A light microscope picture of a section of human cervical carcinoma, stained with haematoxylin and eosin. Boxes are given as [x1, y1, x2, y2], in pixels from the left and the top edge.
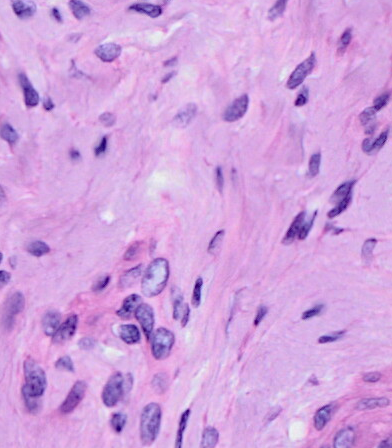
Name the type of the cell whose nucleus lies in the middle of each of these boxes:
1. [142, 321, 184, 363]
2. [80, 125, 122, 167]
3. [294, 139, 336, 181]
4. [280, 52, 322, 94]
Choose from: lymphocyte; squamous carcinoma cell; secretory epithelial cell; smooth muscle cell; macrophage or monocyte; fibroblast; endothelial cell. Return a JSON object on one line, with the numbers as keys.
{"1": "endothelial cell", "2": "fibroblast", "3": "fibroblast", "4": "fibroblast"}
